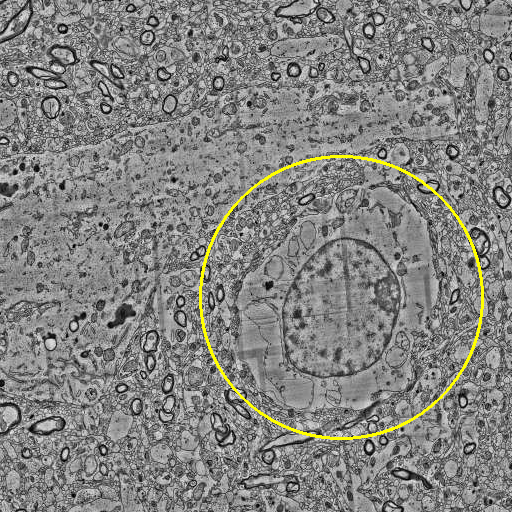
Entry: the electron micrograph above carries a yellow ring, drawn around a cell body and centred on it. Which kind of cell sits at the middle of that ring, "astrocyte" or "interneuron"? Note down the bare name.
astrocyte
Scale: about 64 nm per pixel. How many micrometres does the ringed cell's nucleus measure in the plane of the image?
The nucleus comes to roughly 9 by 7 micrometres in this plane.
